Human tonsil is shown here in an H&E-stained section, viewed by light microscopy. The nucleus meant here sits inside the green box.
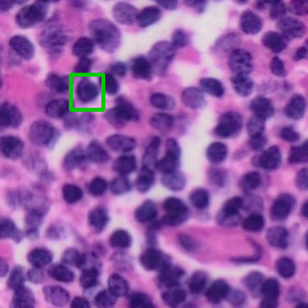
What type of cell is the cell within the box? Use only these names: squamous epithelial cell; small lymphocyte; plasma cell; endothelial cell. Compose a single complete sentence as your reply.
The expected answer is simply that the cell within the box is a small lymphocyte.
